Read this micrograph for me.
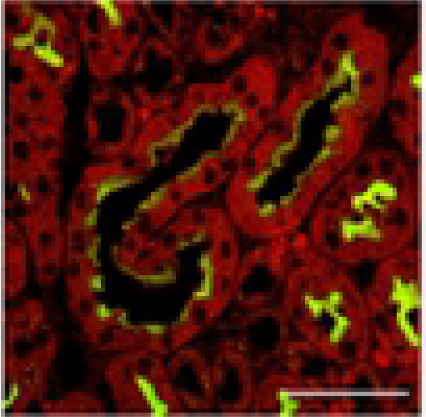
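Many kidney tubules are cut in cross and oblique section, their epithelial cells filled with red fluorescence. Round dark holes in the red cytoplasm are the unstained nuclei, spaced along the walls of each tubule. The edge of the cells facing the lumen carries a narrow, bright yellow line, and some small tubules have lumens filled with yellow. The outer edges of the tubules and the narrow spaces between them stay red or dark. The yellow rim along the lumen corresponds to the brush border of the tubule cells.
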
